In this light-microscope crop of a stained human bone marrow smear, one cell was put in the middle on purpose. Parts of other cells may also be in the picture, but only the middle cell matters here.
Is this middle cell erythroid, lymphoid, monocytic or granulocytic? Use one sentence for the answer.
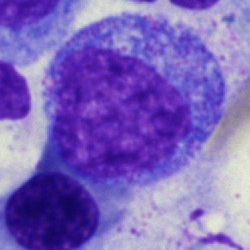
It is of the granulocytic lineage that the central cell is a member.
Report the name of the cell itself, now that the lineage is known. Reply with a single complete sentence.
In the central position of this crop, the cell is a promyelocyte.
